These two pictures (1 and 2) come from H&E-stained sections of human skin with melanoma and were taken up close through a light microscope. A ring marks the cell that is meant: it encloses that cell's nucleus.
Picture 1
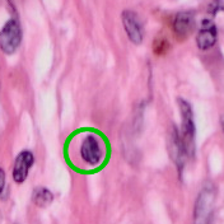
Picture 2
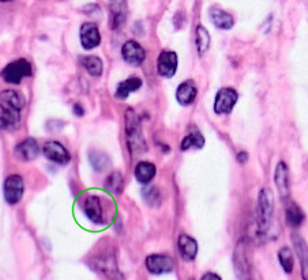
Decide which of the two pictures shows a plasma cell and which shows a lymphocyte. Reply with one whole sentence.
It is picture 1 that shows a lymphocyte, and picture 2 that shows a plasma cell.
